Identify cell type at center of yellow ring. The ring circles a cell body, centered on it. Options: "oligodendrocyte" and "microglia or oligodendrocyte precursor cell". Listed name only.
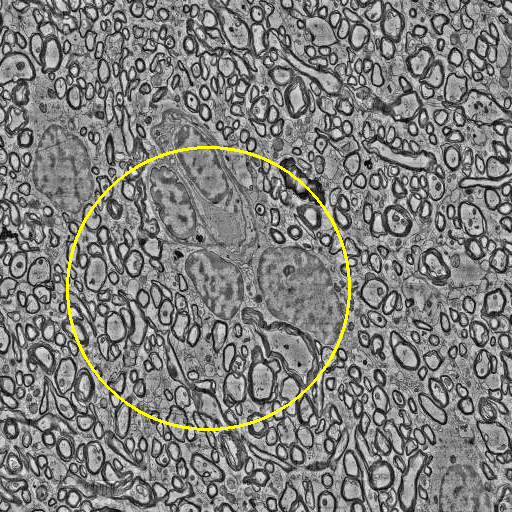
microglia or oligodendrocyte precursor cell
